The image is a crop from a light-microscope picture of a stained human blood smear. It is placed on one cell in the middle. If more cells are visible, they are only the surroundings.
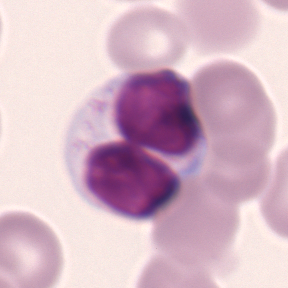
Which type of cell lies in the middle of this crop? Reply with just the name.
large granular lymphocyte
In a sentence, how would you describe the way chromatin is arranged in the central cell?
Chromatin in the nucleus here is coarsely clumped.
